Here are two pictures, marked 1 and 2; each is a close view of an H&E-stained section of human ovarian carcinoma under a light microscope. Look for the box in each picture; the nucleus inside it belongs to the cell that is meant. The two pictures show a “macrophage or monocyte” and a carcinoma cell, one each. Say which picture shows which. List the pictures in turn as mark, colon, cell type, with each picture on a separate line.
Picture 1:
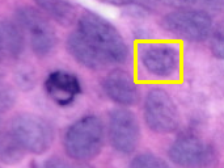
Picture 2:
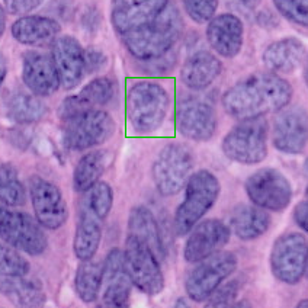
1: macrophage or monocyte
2: carcinoma cell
